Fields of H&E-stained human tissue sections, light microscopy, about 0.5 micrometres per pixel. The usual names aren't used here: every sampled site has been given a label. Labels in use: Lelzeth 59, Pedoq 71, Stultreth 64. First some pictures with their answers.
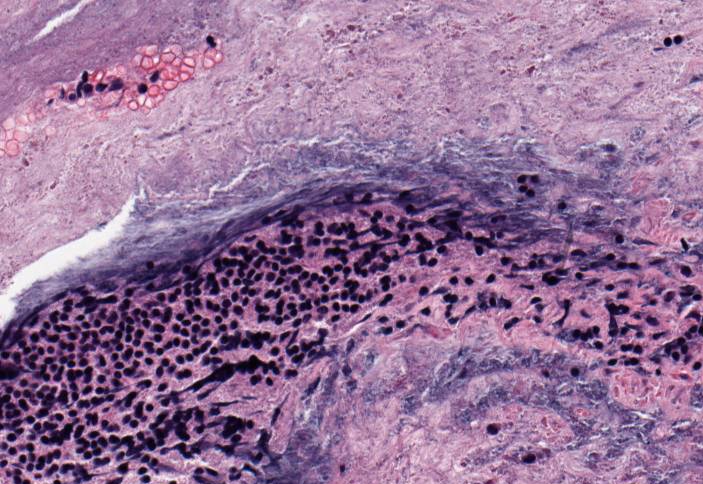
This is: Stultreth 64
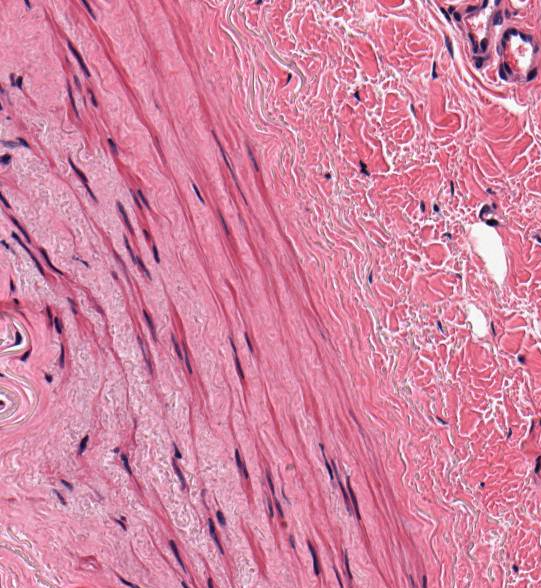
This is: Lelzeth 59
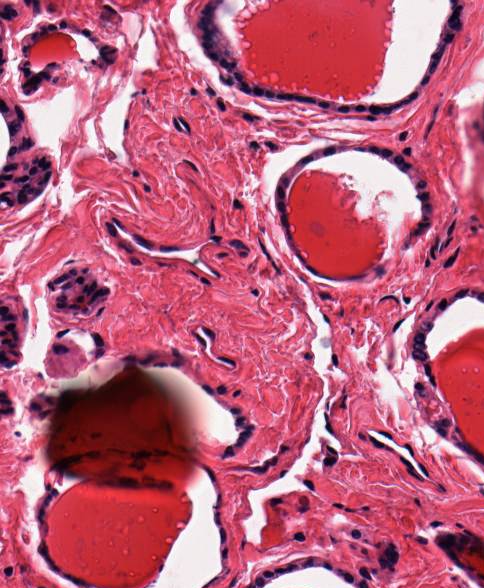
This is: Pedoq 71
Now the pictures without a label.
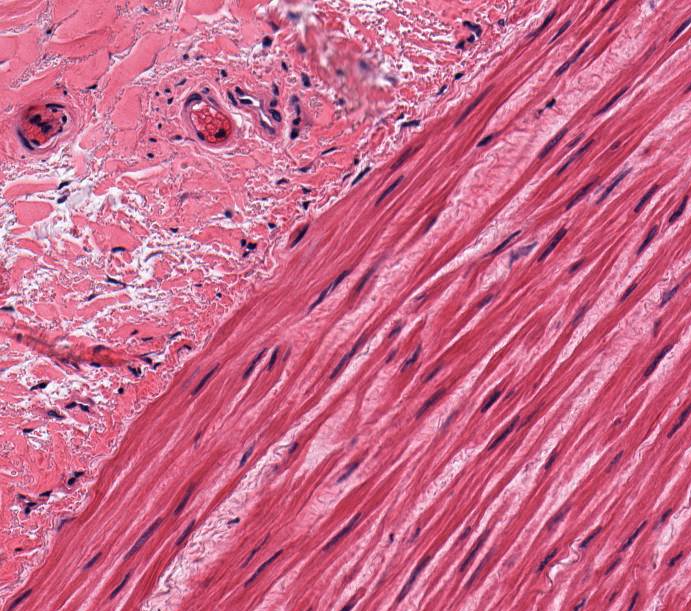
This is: Lelzeth 59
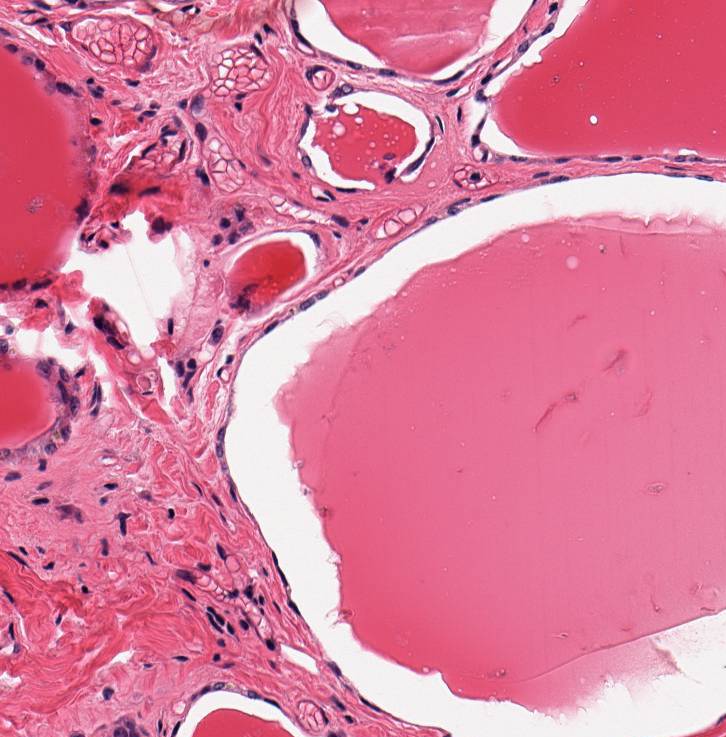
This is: Pedoq 71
